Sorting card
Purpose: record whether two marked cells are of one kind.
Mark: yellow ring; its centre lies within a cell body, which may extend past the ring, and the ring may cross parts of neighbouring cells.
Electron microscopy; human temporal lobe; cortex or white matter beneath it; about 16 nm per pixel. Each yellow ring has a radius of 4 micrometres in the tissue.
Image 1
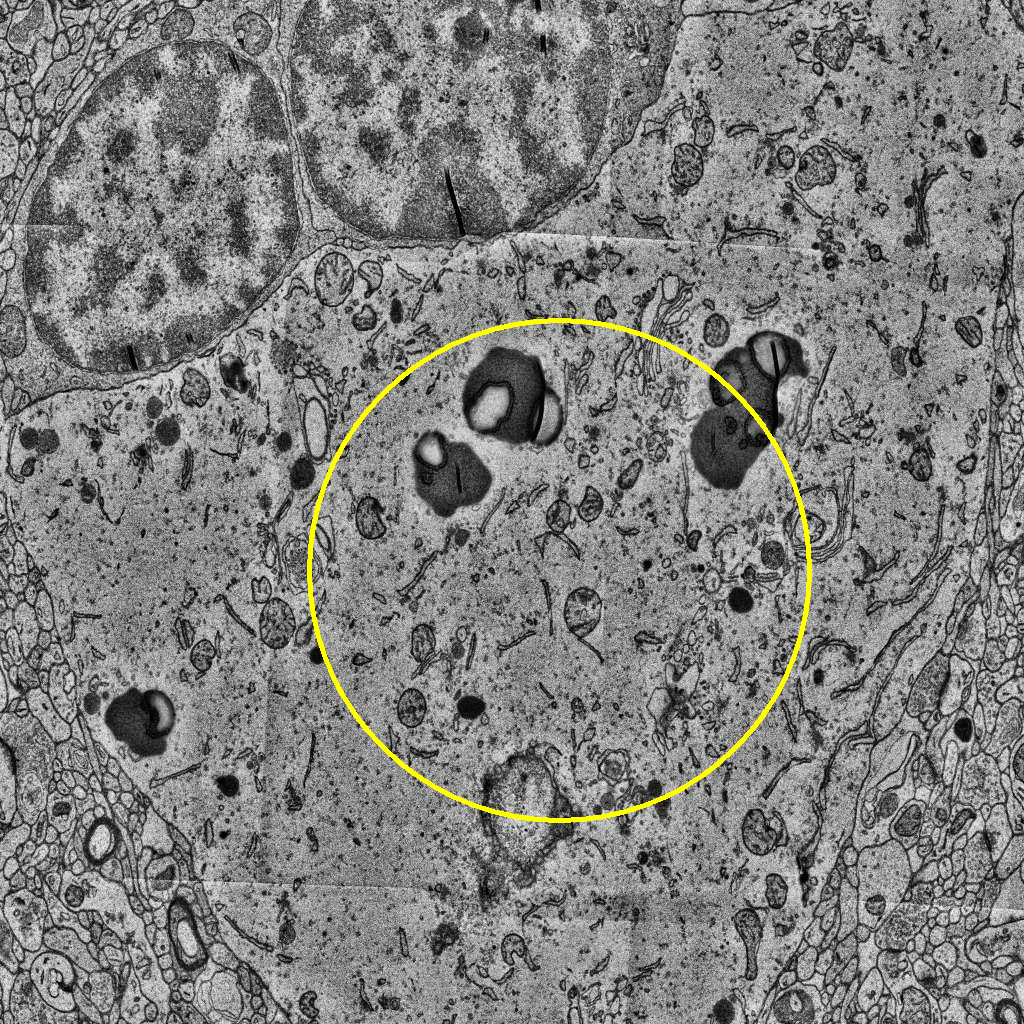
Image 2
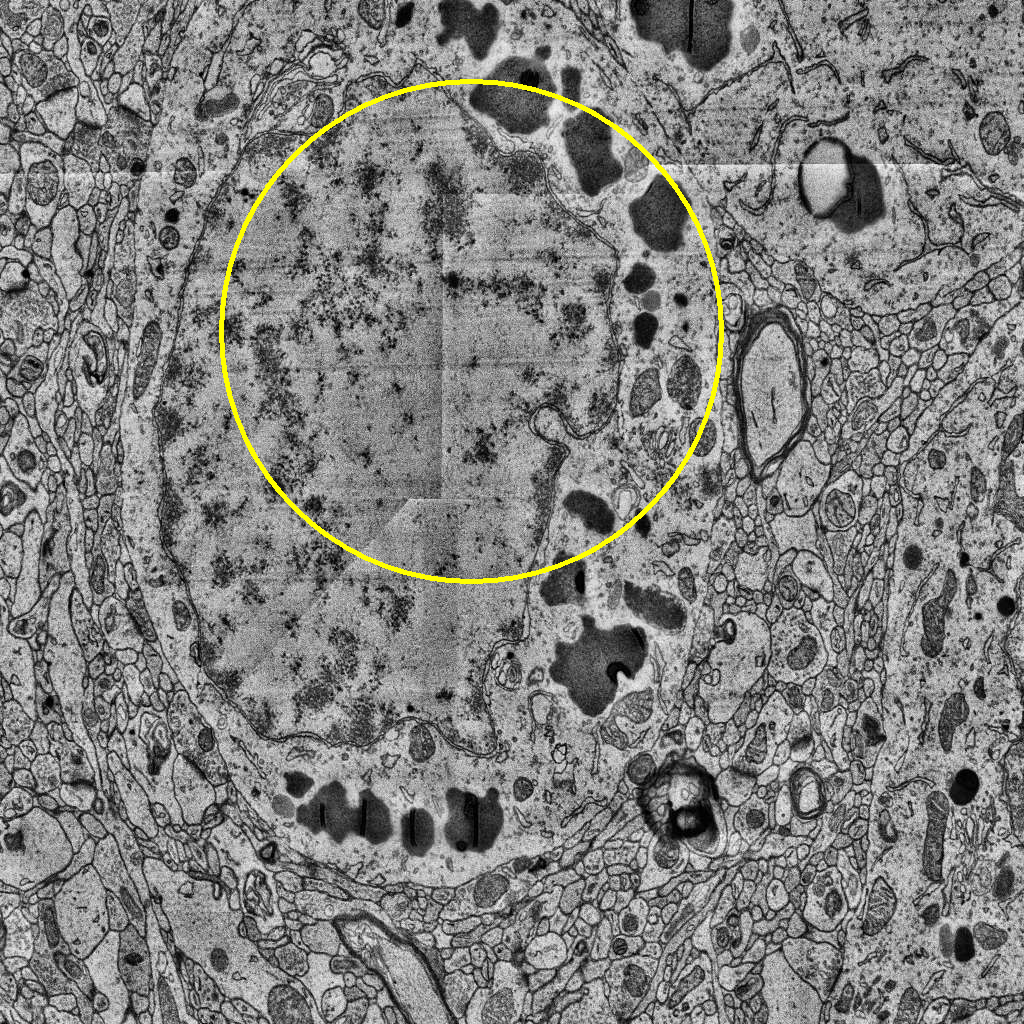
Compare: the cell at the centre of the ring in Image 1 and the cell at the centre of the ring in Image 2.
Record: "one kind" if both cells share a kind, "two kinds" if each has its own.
two kinds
